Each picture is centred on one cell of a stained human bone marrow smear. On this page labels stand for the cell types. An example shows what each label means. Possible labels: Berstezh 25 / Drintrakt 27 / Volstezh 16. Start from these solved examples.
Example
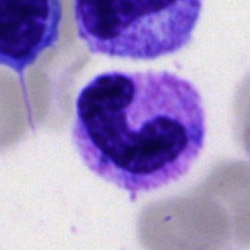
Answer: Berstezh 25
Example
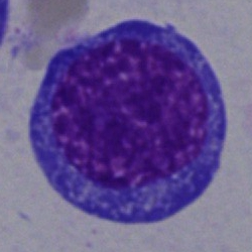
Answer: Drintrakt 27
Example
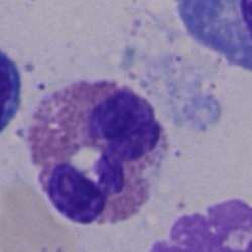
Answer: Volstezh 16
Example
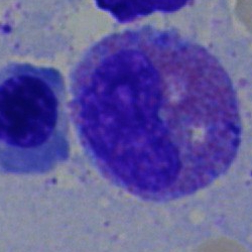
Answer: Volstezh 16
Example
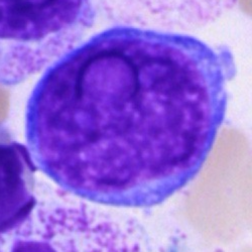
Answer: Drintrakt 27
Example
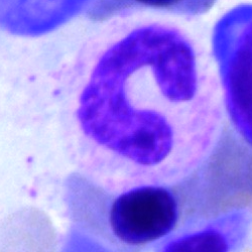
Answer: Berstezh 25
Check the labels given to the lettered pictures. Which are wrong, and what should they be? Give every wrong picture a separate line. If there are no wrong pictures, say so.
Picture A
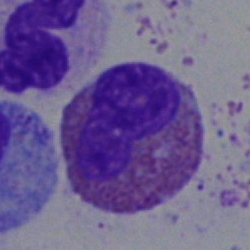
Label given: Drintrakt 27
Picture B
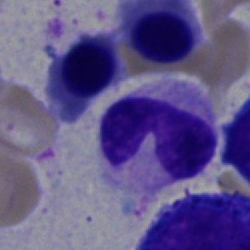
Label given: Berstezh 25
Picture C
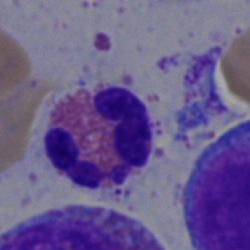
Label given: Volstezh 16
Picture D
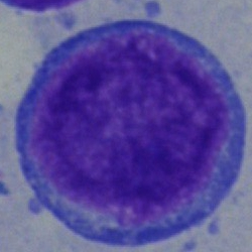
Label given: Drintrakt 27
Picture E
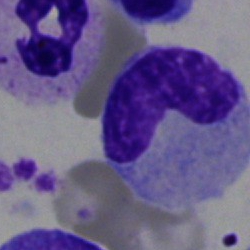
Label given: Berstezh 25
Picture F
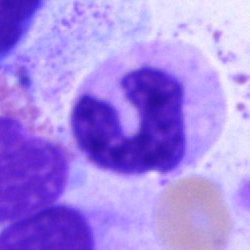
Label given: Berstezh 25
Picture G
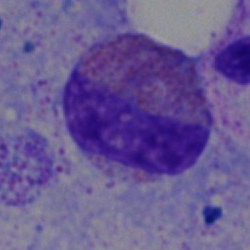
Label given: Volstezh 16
A should be Volstezh 16, not Drintrakt 27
